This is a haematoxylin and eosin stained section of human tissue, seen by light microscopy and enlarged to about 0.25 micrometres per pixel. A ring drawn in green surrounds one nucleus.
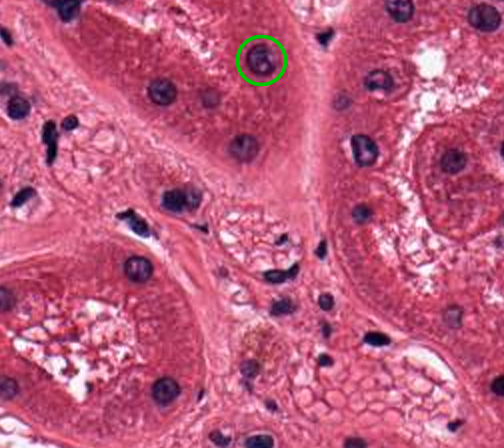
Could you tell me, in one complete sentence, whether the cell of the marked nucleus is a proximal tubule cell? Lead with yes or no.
Yes, the marked nucleus is assigned to a proximal tubule cell.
